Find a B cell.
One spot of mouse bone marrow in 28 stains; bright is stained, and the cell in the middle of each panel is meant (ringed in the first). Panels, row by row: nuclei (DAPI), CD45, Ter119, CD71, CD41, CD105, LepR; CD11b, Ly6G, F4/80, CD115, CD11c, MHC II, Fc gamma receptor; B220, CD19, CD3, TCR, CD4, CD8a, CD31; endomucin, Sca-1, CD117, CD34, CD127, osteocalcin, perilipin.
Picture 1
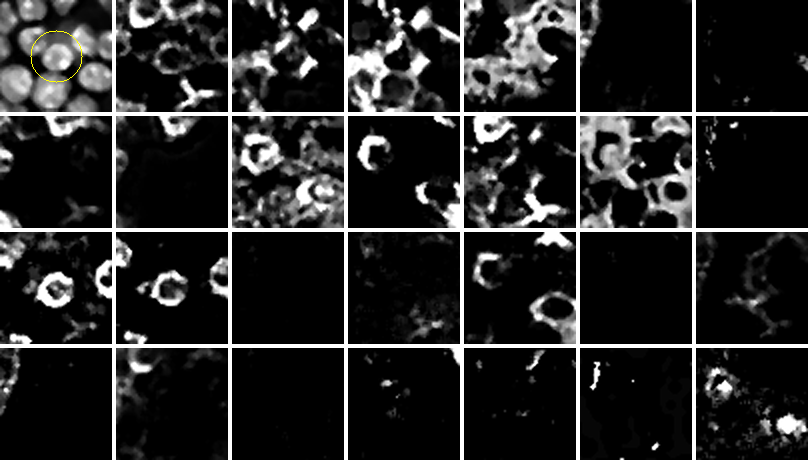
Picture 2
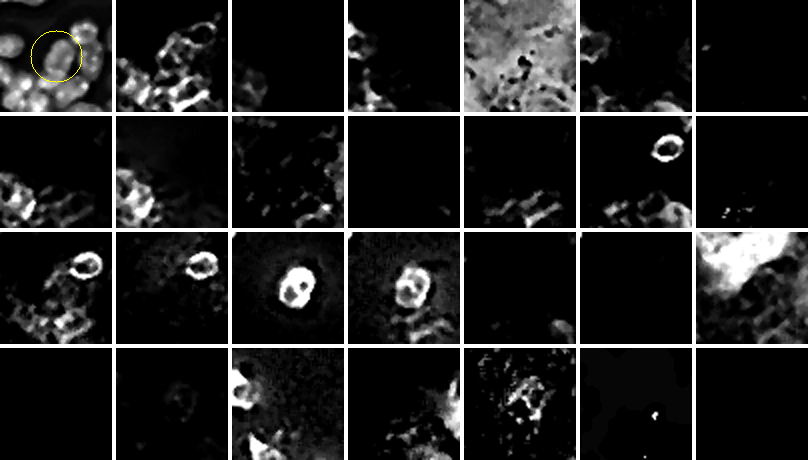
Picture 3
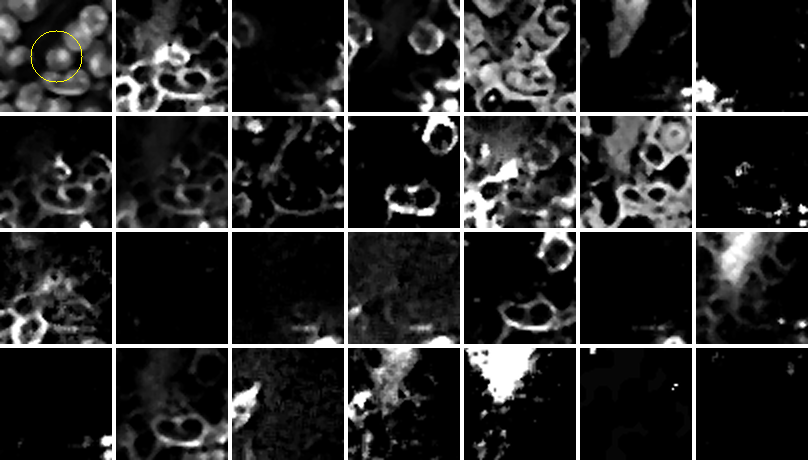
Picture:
1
